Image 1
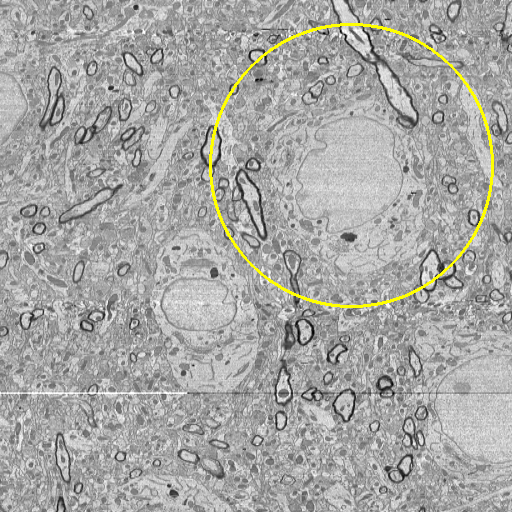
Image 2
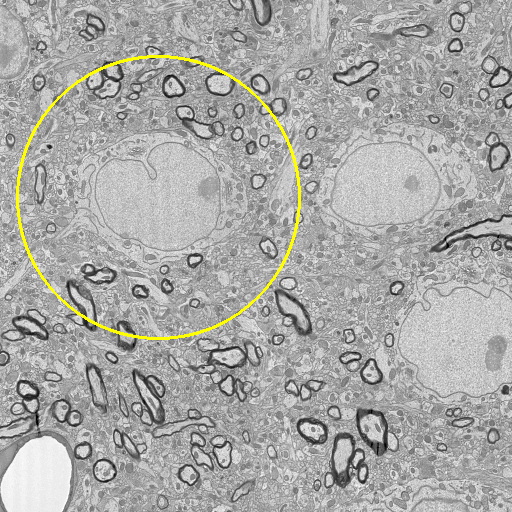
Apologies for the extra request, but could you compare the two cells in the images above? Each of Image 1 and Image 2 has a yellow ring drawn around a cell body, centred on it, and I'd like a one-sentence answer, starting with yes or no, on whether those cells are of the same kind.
Yes, both cells are of the same kind.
